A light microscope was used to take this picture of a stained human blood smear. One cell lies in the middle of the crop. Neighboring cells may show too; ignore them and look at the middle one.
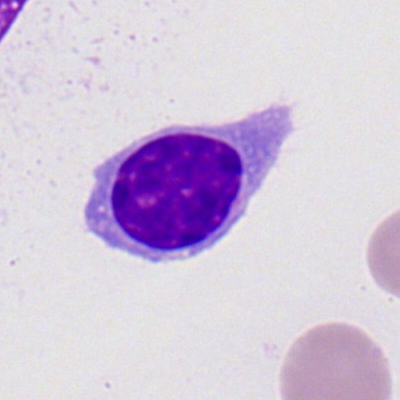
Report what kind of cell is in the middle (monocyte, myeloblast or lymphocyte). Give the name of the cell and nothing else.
lymphocyte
